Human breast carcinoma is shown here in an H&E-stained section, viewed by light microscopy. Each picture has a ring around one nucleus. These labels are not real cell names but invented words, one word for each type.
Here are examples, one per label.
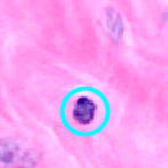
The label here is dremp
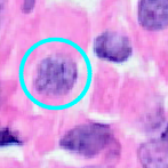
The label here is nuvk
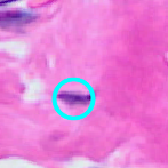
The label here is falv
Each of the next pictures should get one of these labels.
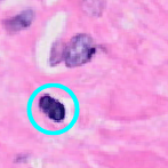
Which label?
dremp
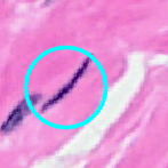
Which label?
falv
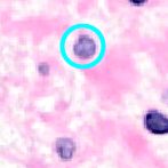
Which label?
dremp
